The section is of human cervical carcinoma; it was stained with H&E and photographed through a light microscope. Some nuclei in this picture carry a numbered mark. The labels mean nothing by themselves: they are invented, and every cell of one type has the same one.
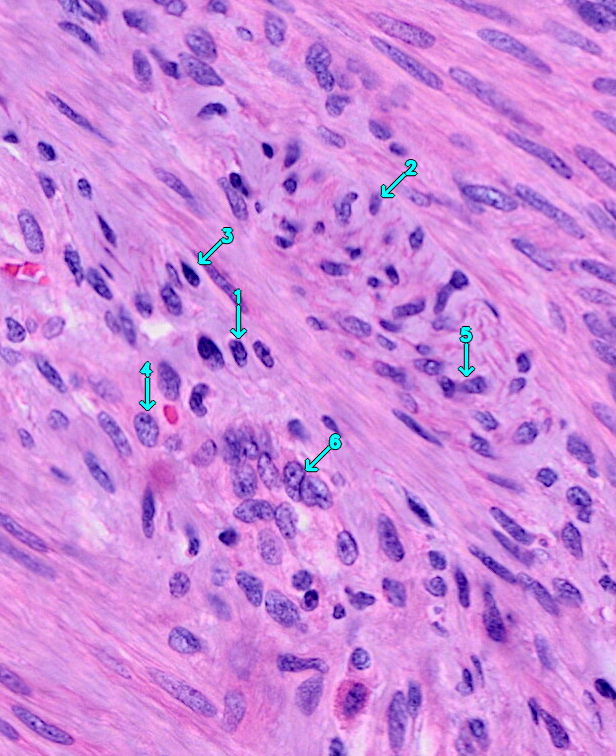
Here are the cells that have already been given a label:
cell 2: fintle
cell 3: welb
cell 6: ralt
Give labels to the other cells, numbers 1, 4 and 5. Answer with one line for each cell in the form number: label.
1: welb
4: ralt
5: fintle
